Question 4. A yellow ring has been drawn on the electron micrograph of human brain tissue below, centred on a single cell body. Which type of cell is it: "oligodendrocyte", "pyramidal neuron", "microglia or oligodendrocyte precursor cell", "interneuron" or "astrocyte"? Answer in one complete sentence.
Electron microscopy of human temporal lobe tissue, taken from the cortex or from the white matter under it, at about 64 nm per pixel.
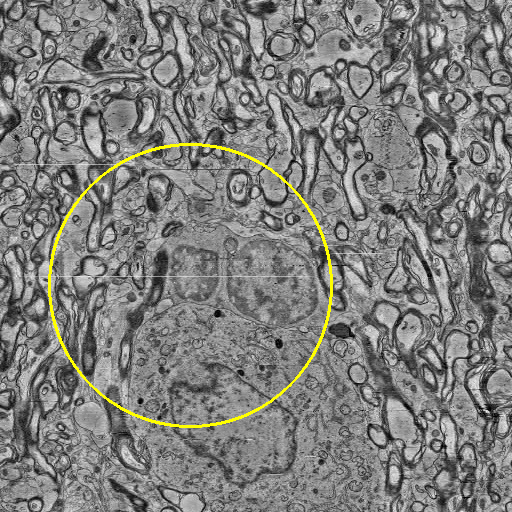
This cell body belongs to an oligodendrocyte.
